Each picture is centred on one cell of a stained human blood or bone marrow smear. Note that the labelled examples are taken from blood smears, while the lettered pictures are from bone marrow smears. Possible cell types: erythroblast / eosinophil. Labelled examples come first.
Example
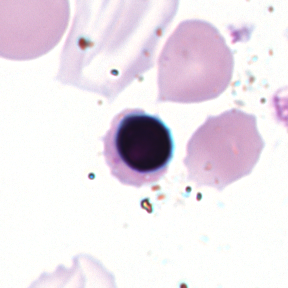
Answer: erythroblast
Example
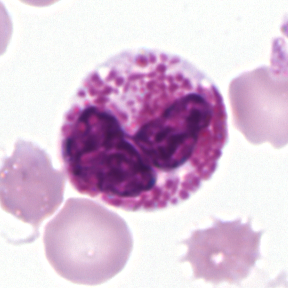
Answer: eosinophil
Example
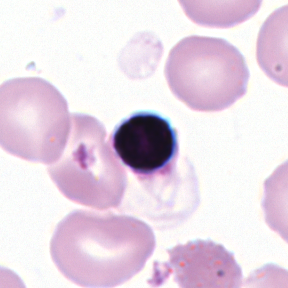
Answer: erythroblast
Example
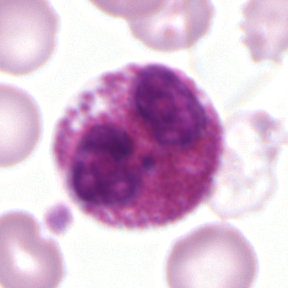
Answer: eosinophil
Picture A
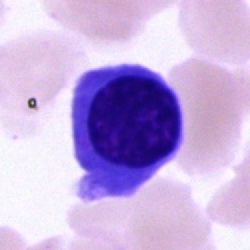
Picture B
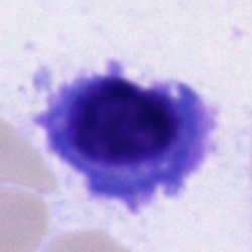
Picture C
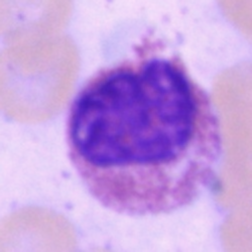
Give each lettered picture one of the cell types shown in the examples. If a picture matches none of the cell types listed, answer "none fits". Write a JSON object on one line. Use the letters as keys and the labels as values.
{"A": "none fits", "B": "none fits", "C": "eosinophil"}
